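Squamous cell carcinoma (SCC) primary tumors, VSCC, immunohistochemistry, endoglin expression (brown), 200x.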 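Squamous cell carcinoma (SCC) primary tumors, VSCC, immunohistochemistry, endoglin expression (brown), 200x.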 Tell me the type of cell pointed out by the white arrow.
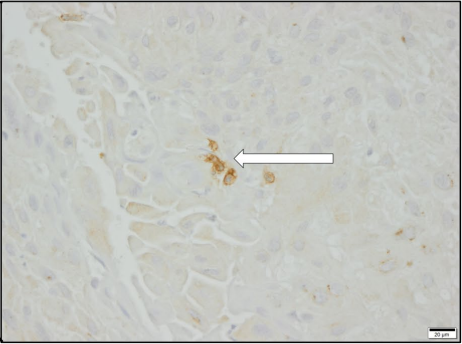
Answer: Epithelial.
